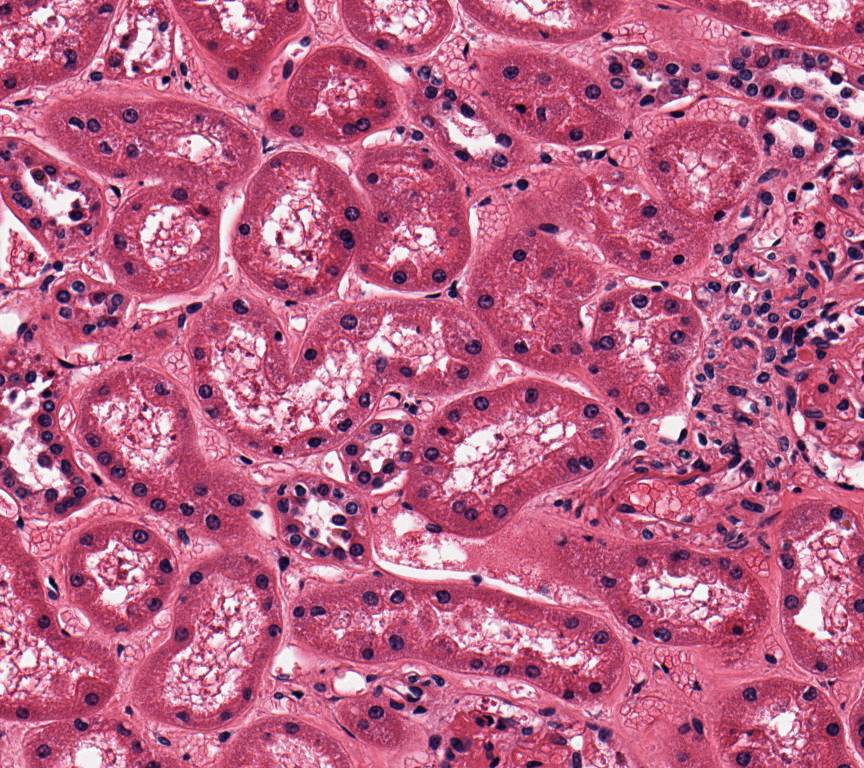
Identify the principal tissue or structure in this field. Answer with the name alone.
cortical labyrinth of the kidney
